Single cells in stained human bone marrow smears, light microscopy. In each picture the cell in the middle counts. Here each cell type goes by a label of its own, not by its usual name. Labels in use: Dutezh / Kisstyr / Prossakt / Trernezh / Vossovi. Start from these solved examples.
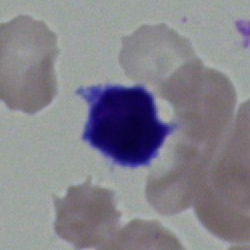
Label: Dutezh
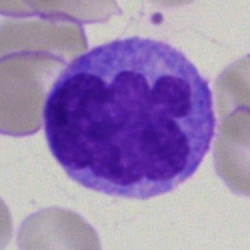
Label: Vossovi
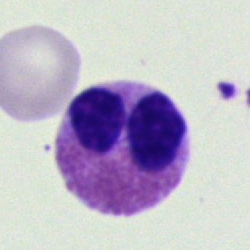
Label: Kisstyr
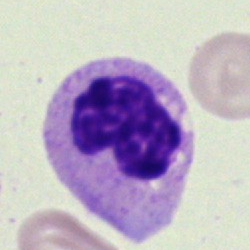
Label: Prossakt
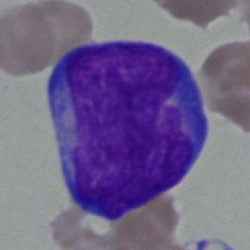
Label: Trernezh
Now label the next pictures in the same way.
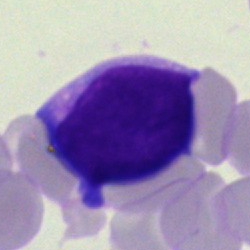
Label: Trernezh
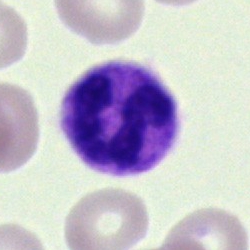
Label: Prossakt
